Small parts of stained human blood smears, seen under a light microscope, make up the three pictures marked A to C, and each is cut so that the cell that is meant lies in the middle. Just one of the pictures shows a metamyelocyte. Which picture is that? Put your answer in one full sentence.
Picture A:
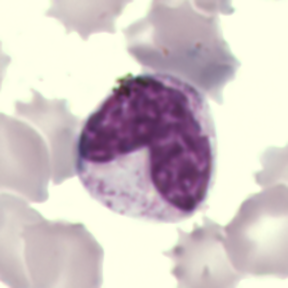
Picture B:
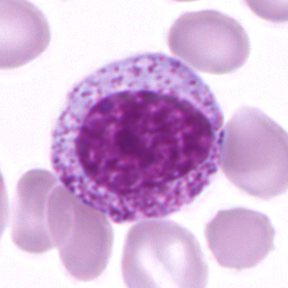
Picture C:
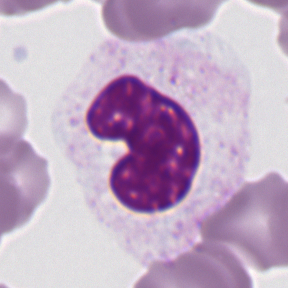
The picture with the metamyelocyte is B.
